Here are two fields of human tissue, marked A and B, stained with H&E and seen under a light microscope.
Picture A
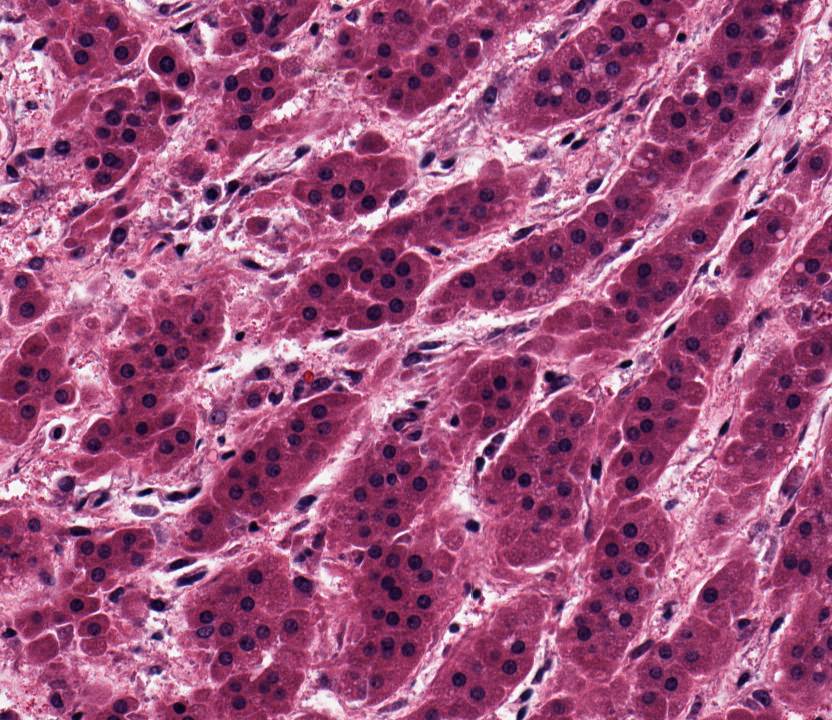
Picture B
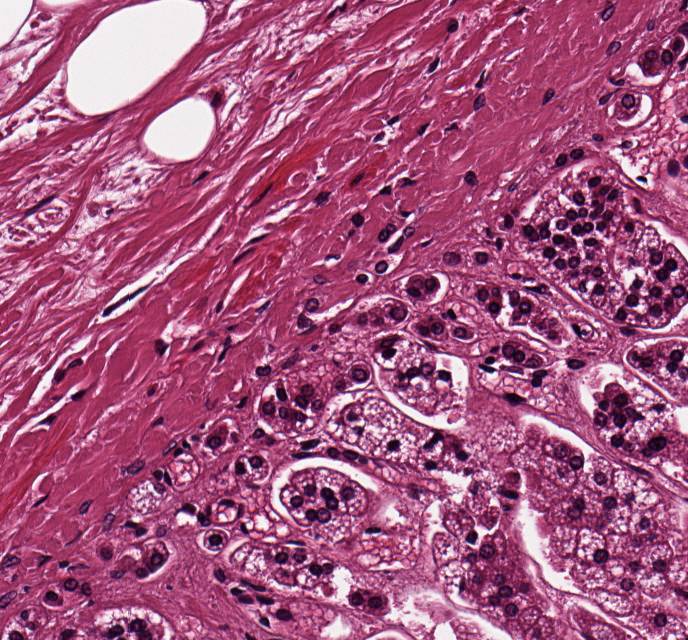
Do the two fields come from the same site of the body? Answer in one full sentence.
Yes, both come from the adrenal gland.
